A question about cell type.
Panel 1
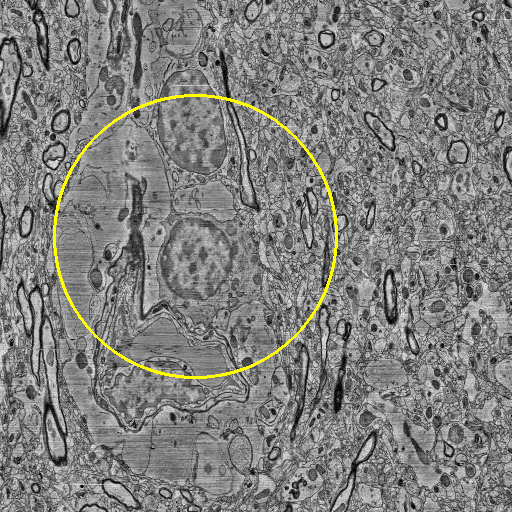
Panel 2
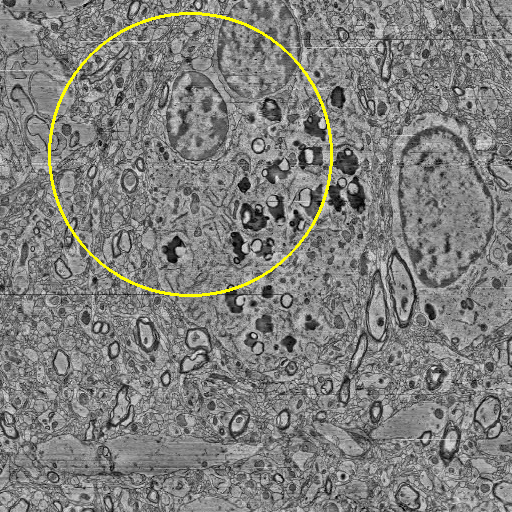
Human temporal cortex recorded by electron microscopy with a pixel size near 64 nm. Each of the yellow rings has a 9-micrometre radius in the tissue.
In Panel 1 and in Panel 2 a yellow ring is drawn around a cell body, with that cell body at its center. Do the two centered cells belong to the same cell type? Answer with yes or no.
no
